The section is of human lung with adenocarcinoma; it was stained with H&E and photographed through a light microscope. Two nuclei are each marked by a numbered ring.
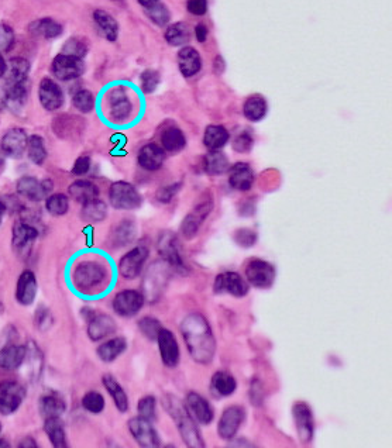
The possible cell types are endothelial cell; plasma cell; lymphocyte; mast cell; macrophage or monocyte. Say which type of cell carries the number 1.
plasma cell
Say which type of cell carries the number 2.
lymphocyte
